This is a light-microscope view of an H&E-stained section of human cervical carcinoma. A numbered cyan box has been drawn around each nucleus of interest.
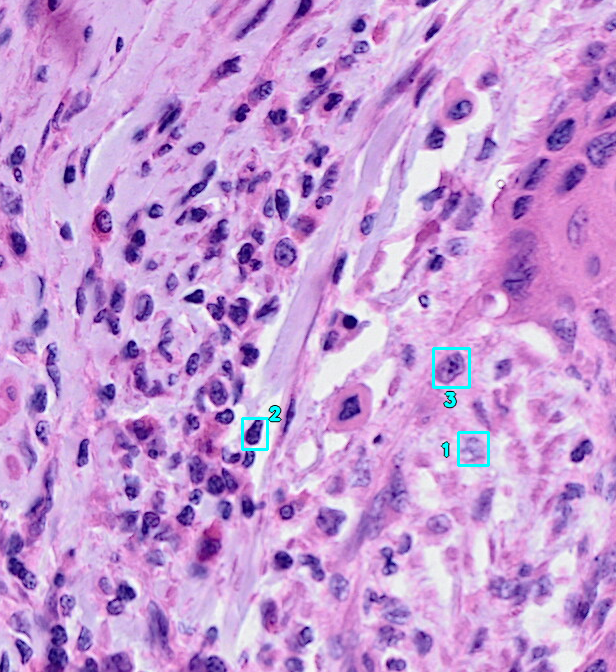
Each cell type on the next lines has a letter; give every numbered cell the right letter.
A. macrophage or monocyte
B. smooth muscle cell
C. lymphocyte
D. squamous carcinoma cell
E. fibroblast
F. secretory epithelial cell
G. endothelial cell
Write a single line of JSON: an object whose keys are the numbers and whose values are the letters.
{"1": "E", "2": "C", "3": "A"}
